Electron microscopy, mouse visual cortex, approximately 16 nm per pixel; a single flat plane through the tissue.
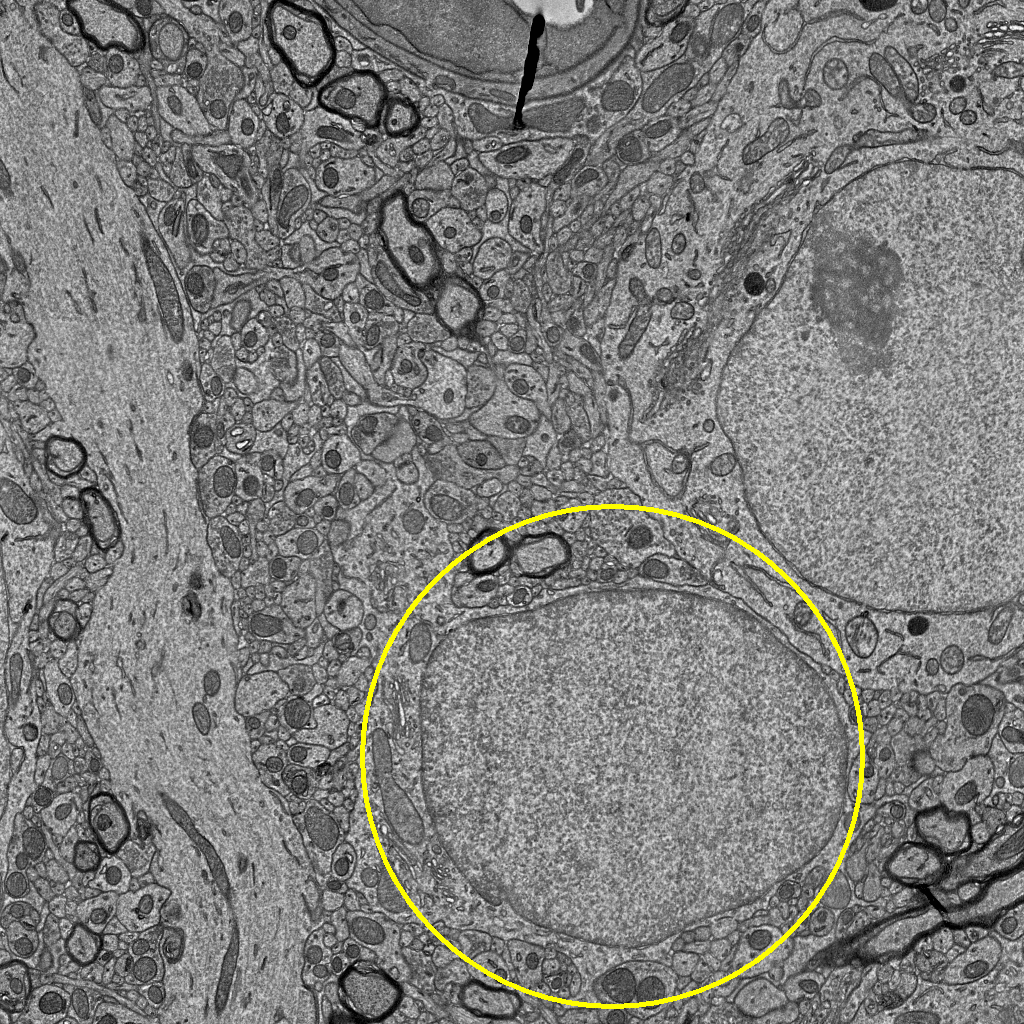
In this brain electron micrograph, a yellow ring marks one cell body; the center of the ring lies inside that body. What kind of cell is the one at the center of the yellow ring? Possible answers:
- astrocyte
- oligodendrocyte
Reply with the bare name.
astrocyte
